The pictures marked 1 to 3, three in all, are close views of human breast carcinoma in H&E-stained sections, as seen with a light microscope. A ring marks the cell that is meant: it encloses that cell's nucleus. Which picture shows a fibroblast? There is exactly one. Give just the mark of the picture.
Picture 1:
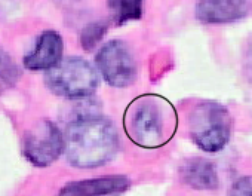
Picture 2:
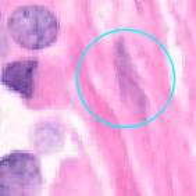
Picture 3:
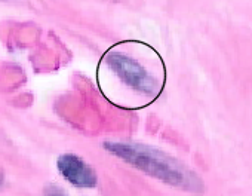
2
